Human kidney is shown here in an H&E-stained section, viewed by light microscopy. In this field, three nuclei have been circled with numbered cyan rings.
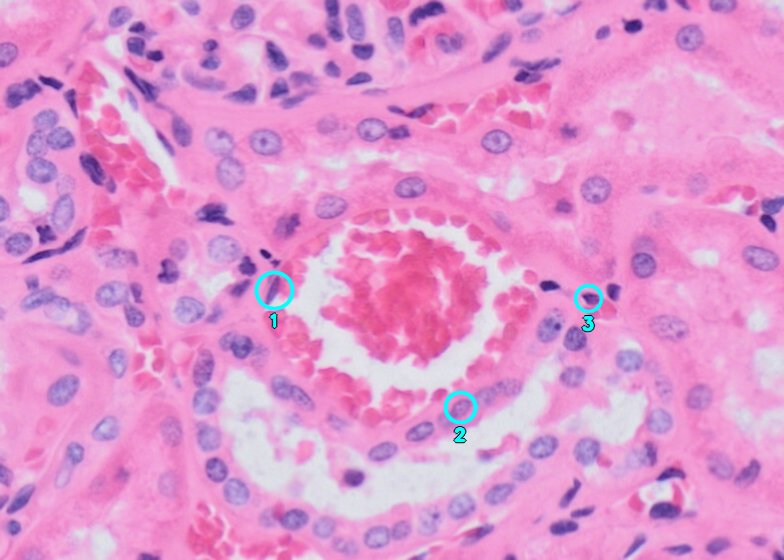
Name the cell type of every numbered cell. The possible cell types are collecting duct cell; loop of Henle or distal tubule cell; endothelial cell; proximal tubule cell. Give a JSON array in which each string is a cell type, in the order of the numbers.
["endothelial cell", "collecting duct cell", "endothelial cell"]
